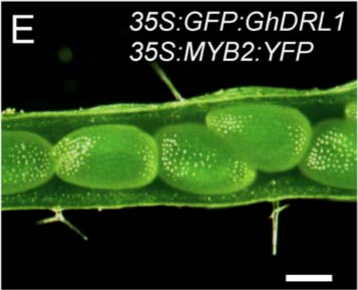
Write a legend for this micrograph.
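This is a close view of a silique, the seed pod, with a row of pale green oval seeds visible through or within the pod. From the upper and lower edges of the pod, single long hairs project outward, some ending in two or three sharp branches. These branched, spiky hairs are trichomes, each a single enlarged epidermal cell. Trichomes are not normally found on the silique surface, so these are ectopic.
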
